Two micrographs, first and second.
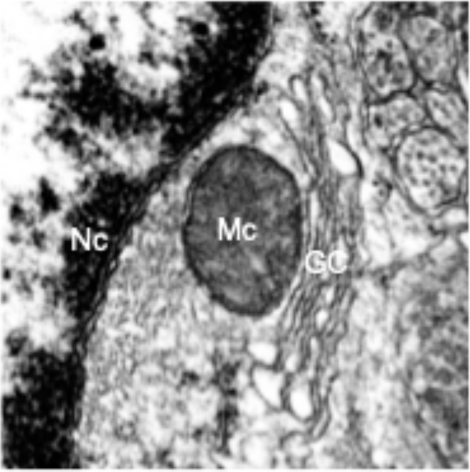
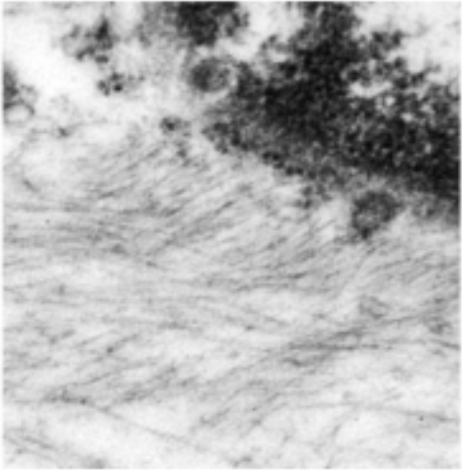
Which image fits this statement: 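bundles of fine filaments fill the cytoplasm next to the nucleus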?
the second image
